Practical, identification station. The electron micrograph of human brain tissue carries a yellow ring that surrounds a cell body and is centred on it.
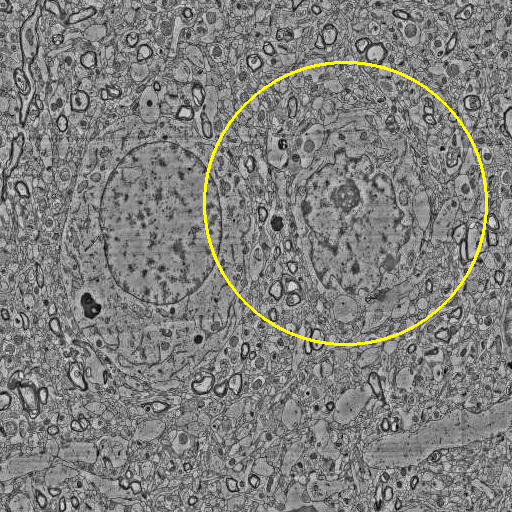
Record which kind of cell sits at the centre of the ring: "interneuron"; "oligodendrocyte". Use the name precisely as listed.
interneuron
